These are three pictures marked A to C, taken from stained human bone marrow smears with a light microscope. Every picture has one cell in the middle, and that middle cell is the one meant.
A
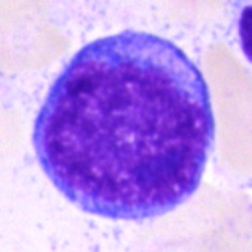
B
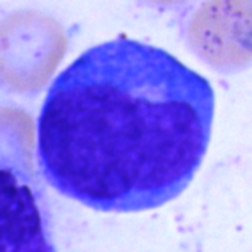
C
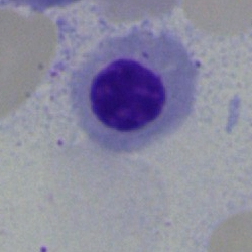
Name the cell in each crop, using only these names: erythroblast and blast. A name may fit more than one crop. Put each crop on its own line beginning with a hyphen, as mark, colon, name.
- A: blast
- B: blast
- C: erythroblast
